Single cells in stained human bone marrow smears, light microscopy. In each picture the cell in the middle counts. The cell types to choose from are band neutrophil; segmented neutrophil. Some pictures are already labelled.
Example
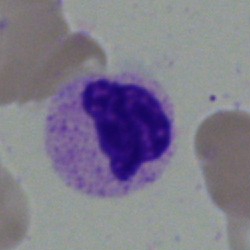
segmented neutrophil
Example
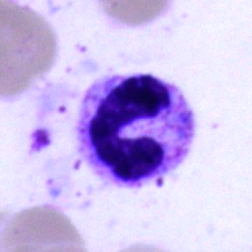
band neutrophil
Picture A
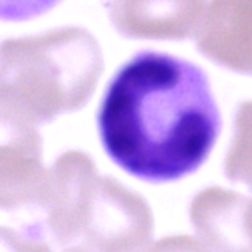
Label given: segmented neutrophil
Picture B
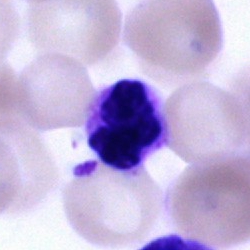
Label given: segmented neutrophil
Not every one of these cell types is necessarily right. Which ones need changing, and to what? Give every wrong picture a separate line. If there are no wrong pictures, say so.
A should be band neutrophil, not segmented neutrophil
